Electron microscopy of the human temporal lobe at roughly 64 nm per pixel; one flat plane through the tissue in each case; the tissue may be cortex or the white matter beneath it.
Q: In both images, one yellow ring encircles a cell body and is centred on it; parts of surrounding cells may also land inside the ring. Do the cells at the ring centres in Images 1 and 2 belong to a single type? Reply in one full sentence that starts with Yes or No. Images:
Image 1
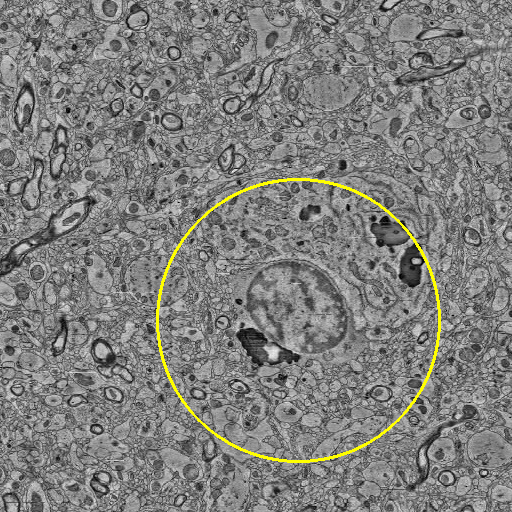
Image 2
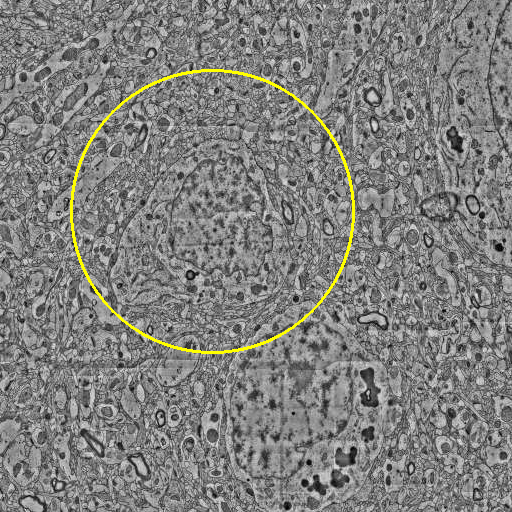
No, the cells at the ring centres in Images 1 and 2 are of two types.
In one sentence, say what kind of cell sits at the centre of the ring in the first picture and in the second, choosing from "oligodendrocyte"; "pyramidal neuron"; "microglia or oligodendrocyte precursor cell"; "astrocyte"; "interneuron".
The first picture's ringed cell is an oligodendrocyte, while the second picture's is an interneuron.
